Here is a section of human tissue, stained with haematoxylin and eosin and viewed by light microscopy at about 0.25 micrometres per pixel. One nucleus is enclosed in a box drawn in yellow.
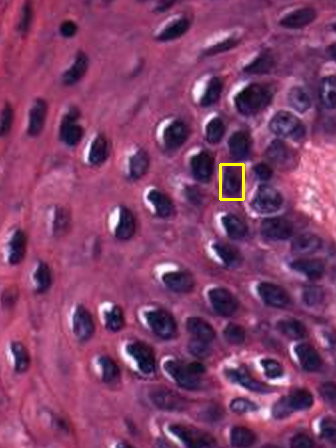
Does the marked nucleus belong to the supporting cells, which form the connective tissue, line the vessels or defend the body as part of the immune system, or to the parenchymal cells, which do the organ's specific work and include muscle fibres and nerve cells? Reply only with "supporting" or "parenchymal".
parenchymal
